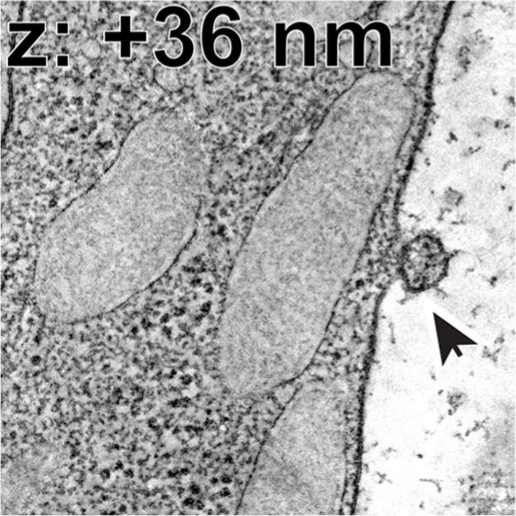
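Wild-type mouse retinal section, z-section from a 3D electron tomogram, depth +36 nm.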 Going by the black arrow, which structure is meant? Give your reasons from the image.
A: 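A small round membrane-bound vesicle with granular content sits at the arrow tip. The vesicle lies against the outer surface of the plasma membrane in the pale extracellular space.
Conclusion: microvesicle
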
